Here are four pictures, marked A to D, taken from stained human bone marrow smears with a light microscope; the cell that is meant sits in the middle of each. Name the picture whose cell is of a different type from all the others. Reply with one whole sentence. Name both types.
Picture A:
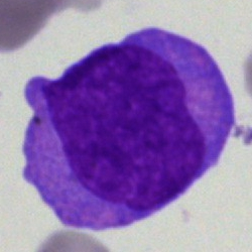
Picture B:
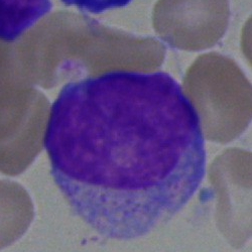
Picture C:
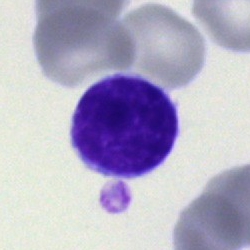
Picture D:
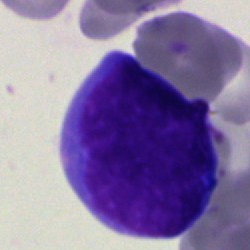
Picture C is the odd one out: it shows a lymphocyte, while the others show blasts.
